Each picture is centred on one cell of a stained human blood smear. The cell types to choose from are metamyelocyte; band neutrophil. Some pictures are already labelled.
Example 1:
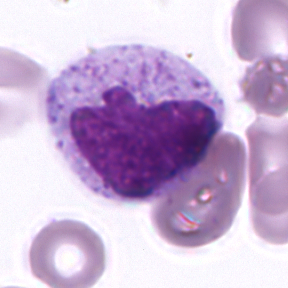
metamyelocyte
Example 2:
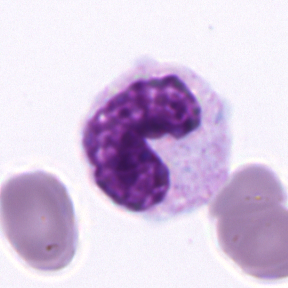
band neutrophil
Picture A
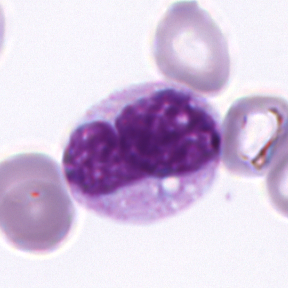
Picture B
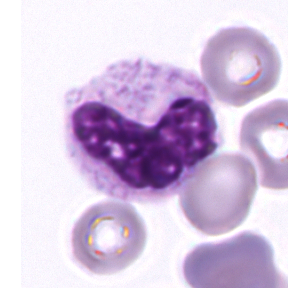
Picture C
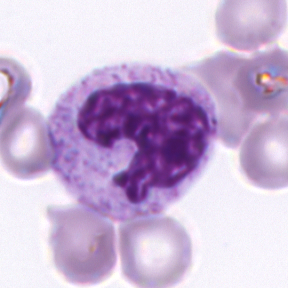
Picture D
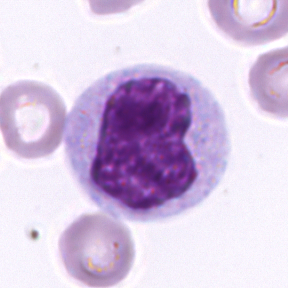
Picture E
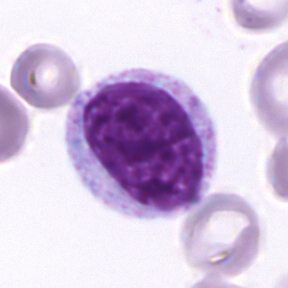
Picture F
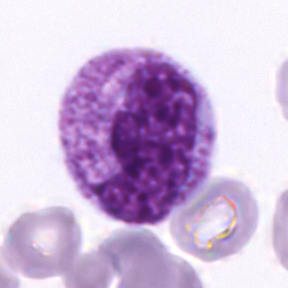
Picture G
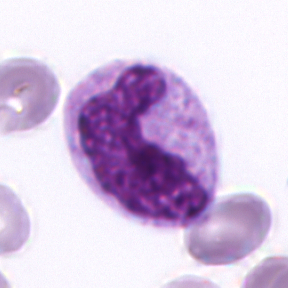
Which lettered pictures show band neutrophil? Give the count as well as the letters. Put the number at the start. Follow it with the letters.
4: A, B, C, G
